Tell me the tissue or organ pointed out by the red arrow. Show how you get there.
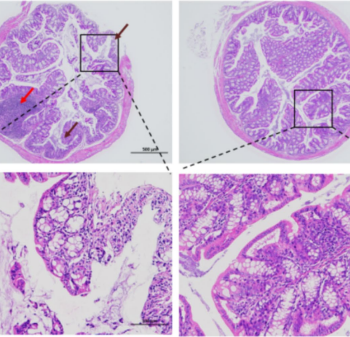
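Lymphoid tissue in the submucosal layer. The red arrow points to a dense, dark purple patch of closely packed small nuclei. The patch lies at the base of the mucosa in the colon cross-section.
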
